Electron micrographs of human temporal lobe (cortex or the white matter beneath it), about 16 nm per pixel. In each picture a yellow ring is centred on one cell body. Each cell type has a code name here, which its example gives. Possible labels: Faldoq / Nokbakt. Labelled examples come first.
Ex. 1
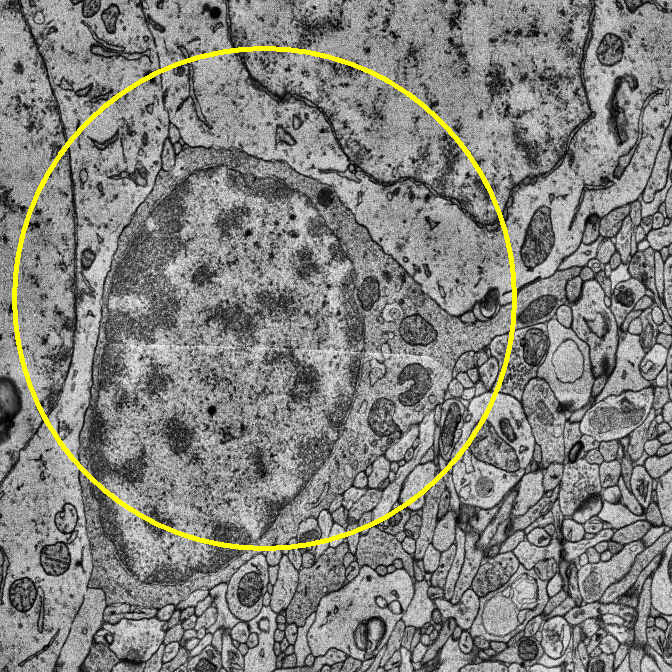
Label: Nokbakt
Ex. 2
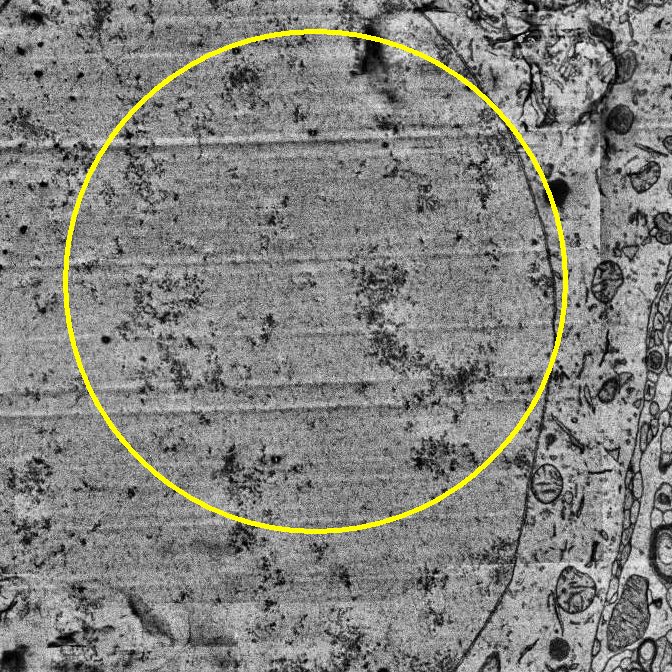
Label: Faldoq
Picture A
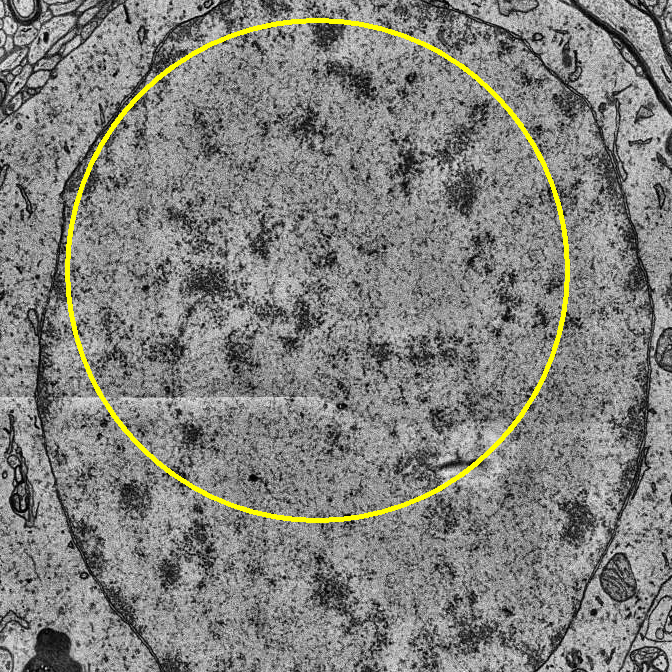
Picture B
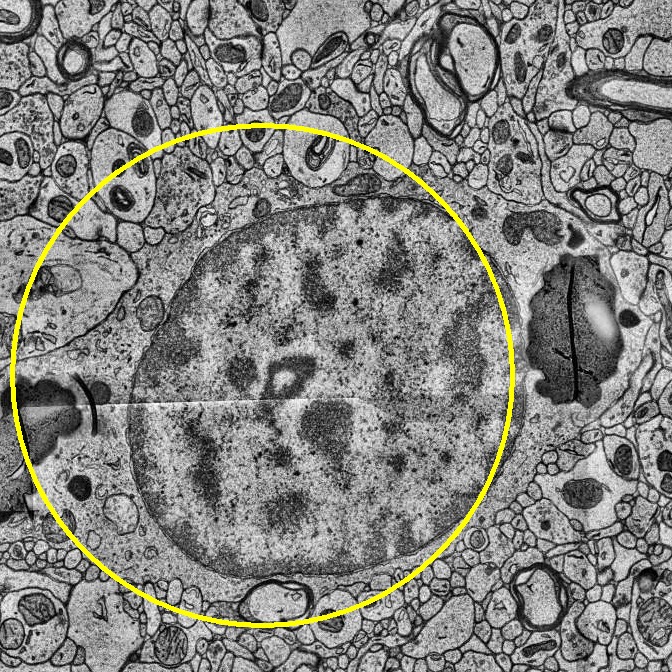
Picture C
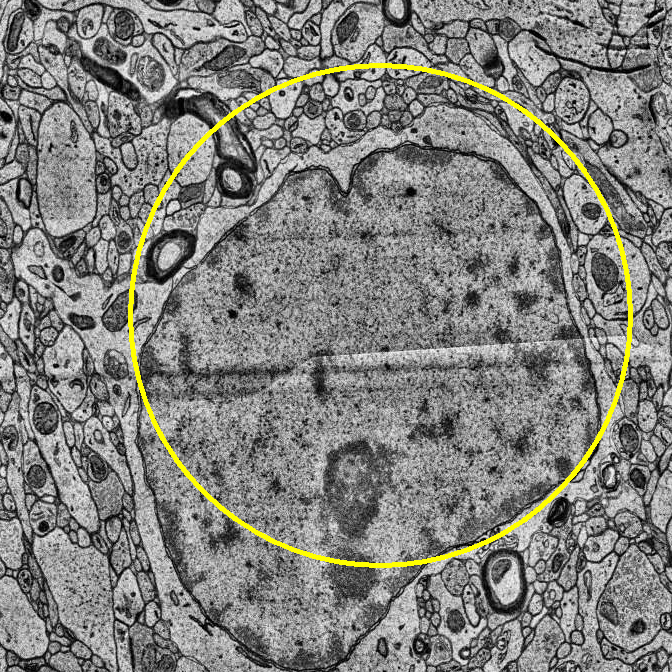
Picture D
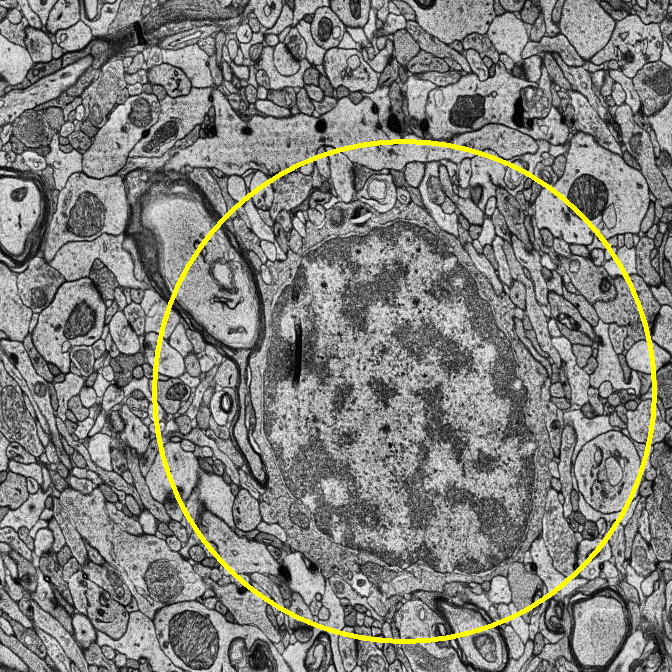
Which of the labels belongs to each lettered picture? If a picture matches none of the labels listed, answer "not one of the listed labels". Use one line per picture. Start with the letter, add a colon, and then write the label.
A: Faldoq
B: Nokbakt
C: not one of the listed labels
D: Nokbakt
